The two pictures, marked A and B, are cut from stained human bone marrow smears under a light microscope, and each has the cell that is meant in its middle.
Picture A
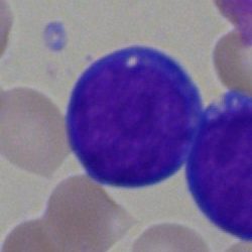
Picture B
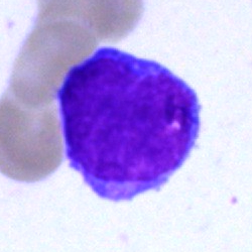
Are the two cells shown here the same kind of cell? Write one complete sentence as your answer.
Yes, both cells are blasts.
